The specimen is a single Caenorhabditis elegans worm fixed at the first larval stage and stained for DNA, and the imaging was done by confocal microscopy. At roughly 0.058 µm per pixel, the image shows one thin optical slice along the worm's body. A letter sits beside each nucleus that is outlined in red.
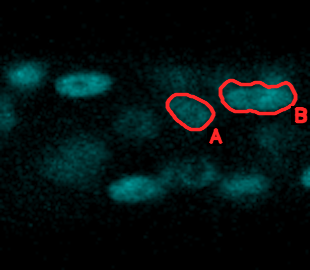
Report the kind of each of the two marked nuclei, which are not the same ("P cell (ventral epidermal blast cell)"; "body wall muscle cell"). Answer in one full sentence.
The nucleus A is that of a P cell (ventral epidermal blast cell), while B is that of a body wall muscle cell.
